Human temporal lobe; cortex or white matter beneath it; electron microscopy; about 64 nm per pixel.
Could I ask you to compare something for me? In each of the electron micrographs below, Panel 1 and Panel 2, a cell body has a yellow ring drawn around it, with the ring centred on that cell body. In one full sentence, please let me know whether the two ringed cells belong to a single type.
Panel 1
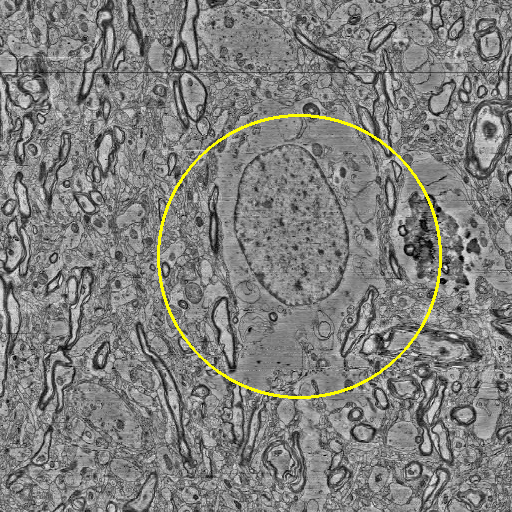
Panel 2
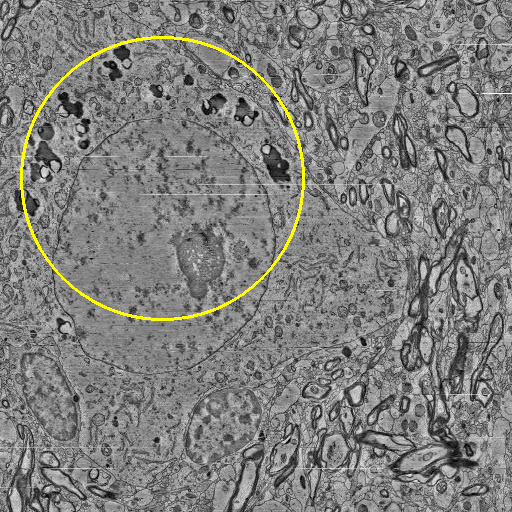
No, the two cells at the centres of the rings are of two types.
